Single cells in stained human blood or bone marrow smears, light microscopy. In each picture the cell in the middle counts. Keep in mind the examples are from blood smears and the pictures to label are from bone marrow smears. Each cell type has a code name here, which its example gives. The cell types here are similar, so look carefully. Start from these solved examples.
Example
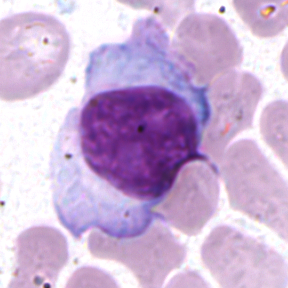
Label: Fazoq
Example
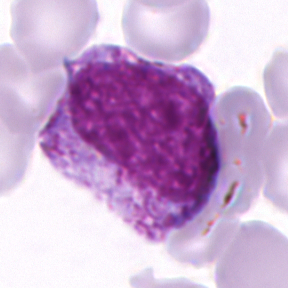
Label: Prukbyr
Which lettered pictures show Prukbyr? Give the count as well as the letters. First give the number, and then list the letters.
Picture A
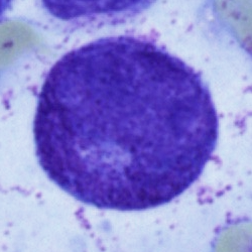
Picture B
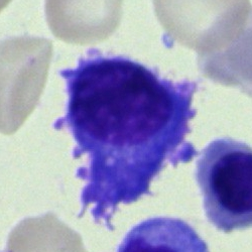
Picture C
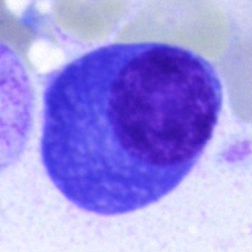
1: A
